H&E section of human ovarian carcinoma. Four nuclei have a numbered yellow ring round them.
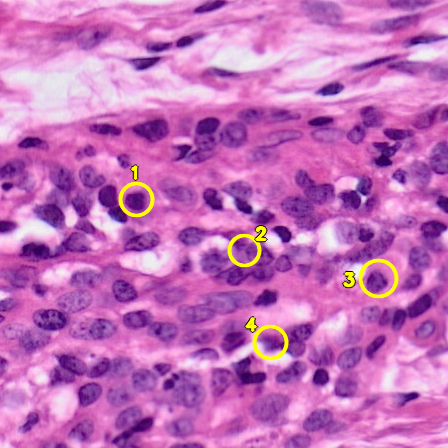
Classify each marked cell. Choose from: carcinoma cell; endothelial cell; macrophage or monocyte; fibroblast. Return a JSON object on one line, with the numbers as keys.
{"1": "carcinoma cell", "2": "carcinoma cell", "3": "macrophage or monocyte", "4": "carcinoma cell"}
